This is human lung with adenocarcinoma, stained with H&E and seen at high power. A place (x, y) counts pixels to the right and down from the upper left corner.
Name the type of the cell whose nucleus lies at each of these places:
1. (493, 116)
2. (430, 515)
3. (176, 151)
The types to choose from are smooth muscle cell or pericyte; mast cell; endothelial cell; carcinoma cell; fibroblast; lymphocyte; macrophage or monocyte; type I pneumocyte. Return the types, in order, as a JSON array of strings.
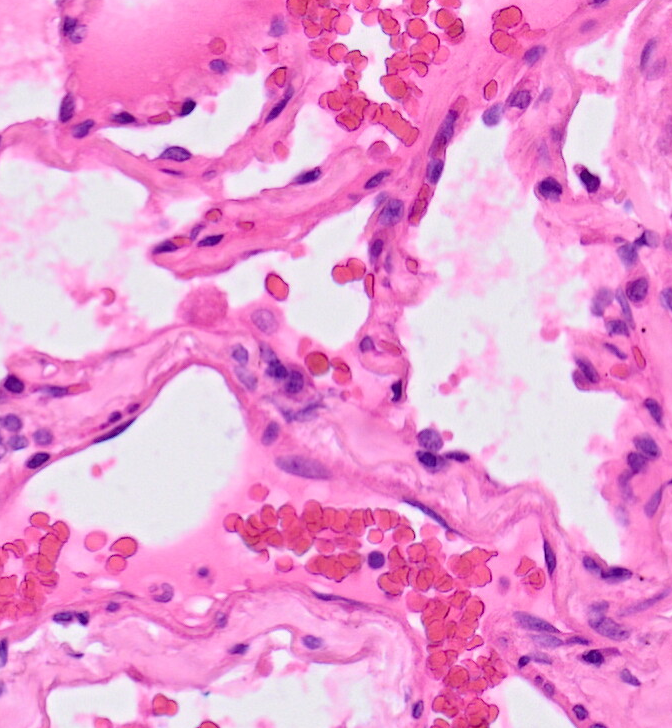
["type I pneumocyte", "endothelial cell", "type I pneumocyte"]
